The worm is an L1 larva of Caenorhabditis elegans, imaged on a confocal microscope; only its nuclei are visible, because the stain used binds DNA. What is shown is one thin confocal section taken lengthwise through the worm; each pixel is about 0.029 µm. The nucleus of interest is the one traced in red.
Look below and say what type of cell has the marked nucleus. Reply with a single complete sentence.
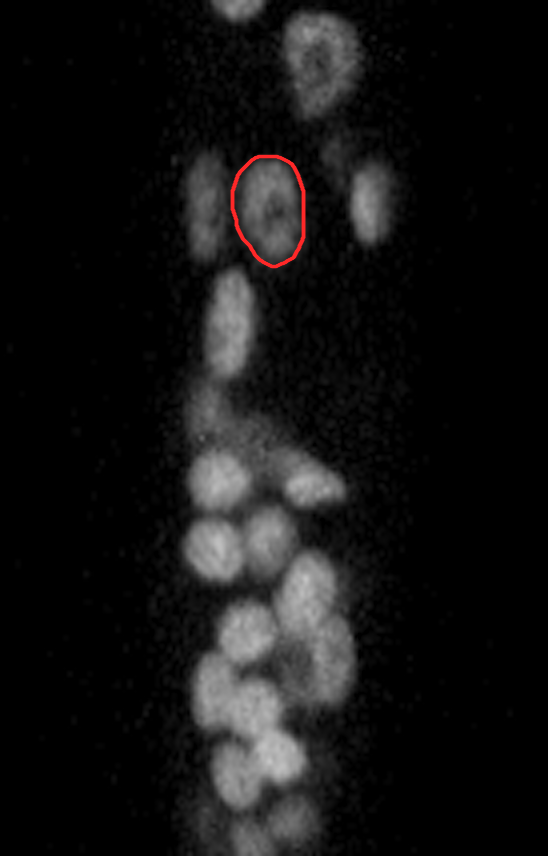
This nucleus is from a seam cell.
